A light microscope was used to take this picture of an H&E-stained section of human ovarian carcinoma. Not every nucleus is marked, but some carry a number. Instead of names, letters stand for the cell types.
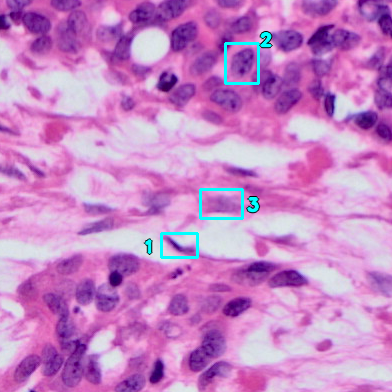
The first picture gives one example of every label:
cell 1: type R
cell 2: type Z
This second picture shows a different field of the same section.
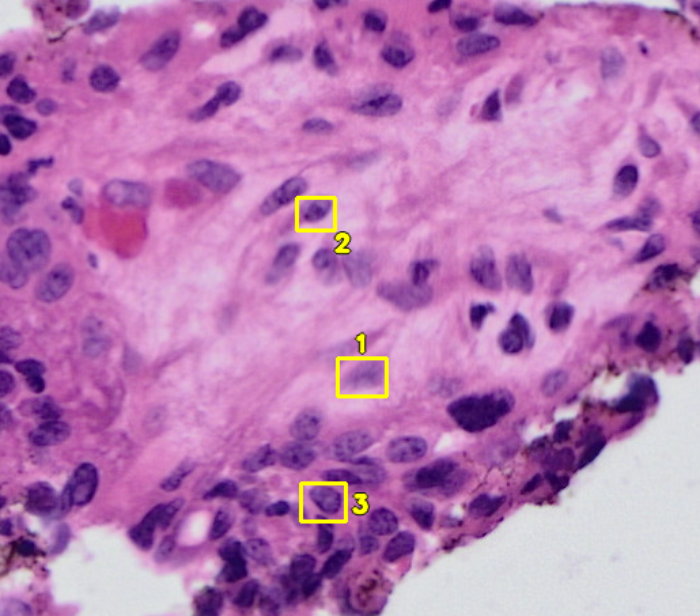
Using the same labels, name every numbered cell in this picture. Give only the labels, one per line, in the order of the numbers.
type R
type R
type Z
